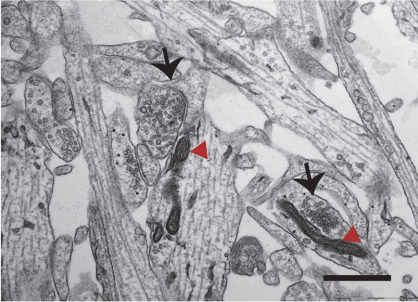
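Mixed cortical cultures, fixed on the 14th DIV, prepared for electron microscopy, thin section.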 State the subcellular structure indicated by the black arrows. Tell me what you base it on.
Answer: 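Presynaptic terminals. The arrows point to rounded profiles filled with small round vesicles.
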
